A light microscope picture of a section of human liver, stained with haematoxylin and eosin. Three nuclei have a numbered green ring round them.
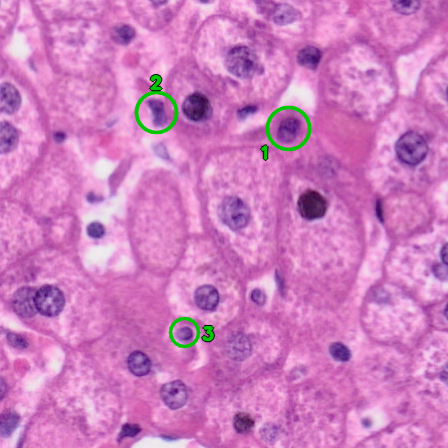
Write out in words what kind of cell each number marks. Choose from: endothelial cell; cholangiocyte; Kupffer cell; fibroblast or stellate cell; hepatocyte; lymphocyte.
Cells 1 and 3 are Kupffer cells. Cell 2 is an endothelial cell.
